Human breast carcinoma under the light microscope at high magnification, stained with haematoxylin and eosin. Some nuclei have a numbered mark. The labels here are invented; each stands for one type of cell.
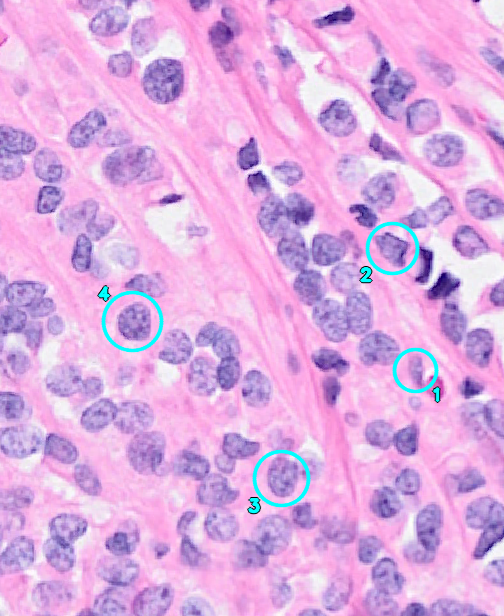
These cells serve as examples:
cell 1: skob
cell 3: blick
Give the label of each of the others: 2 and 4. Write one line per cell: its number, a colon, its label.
2: blick
4: blick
